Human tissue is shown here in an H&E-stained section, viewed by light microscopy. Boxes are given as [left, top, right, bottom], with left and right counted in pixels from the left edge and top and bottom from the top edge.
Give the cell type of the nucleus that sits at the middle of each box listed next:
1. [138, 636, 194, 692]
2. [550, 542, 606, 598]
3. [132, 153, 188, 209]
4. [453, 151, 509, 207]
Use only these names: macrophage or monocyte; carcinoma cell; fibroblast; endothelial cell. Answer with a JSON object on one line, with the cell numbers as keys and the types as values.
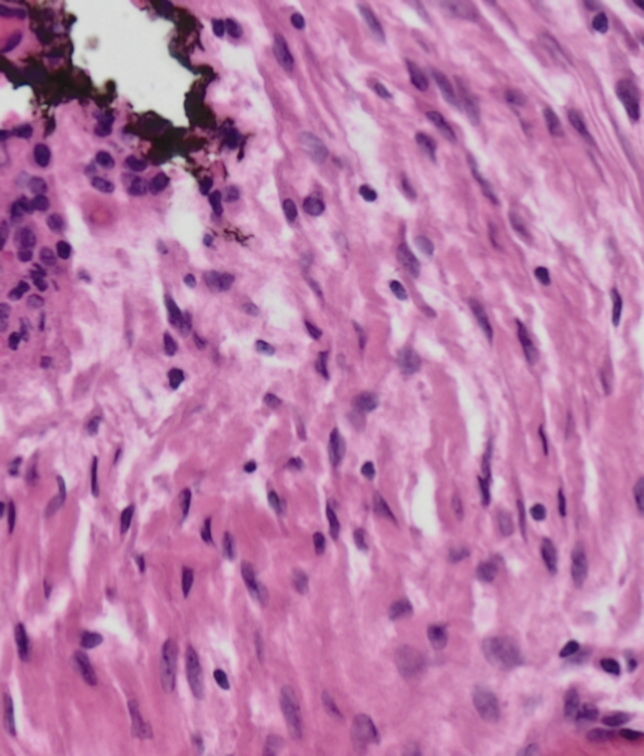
{"1": "fibroblast", "2": "fibroblast", "3": "carcinoma cell", "4": "fibroblast"}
